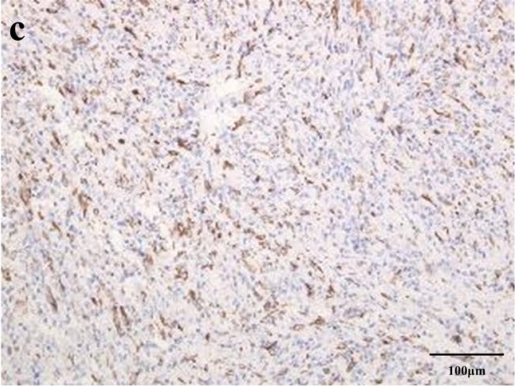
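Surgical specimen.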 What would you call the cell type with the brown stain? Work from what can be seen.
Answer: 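Small spindle cells. Brown-stained cells are slender and elongated. They are scattered among unstained cells with blue nuclei.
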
